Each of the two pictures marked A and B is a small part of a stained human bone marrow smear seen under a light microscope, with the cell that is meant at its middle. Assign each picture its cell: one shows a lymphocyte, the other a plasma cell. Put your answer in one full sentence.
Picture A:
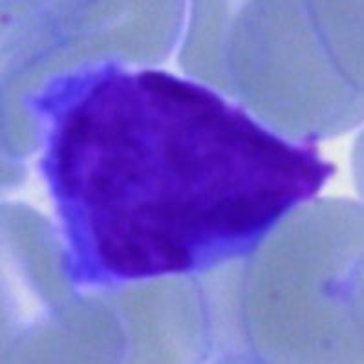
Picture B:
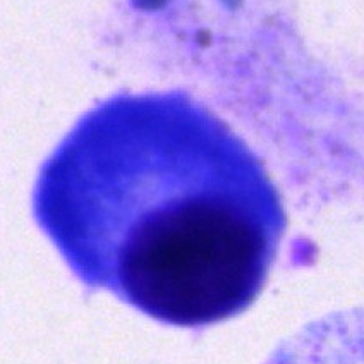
Picture B shows a plasma cell, while picture A shows a lymphocyte.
